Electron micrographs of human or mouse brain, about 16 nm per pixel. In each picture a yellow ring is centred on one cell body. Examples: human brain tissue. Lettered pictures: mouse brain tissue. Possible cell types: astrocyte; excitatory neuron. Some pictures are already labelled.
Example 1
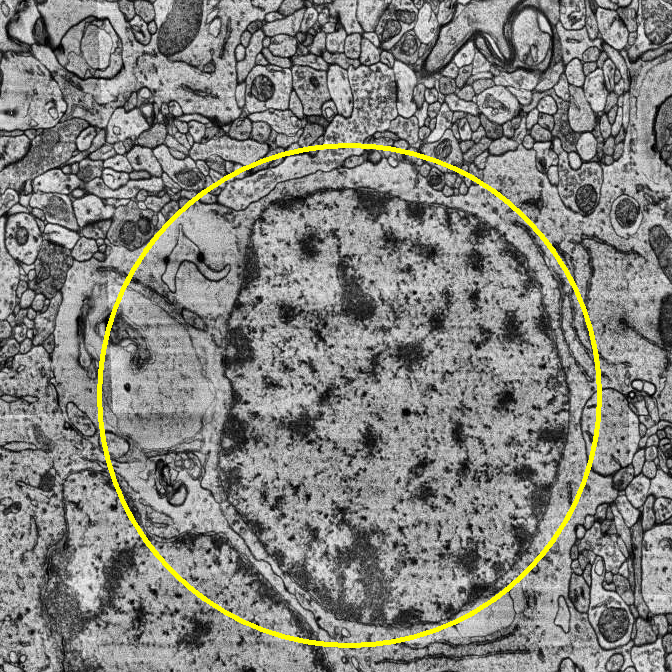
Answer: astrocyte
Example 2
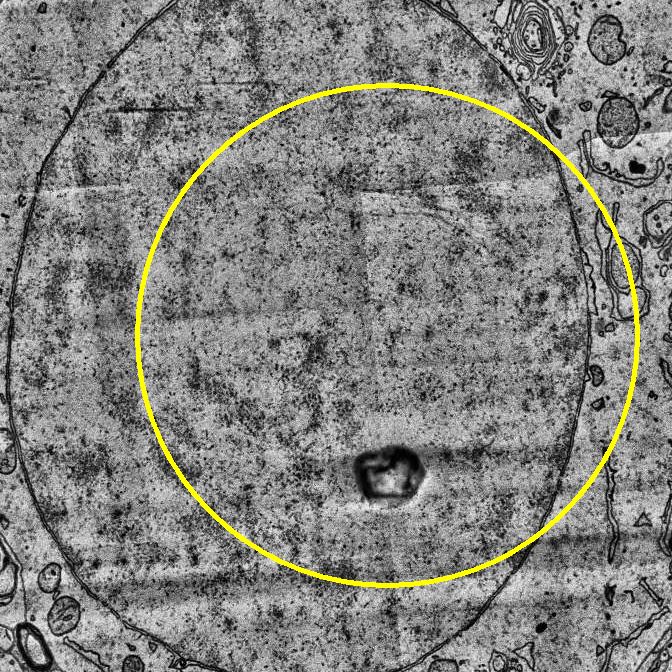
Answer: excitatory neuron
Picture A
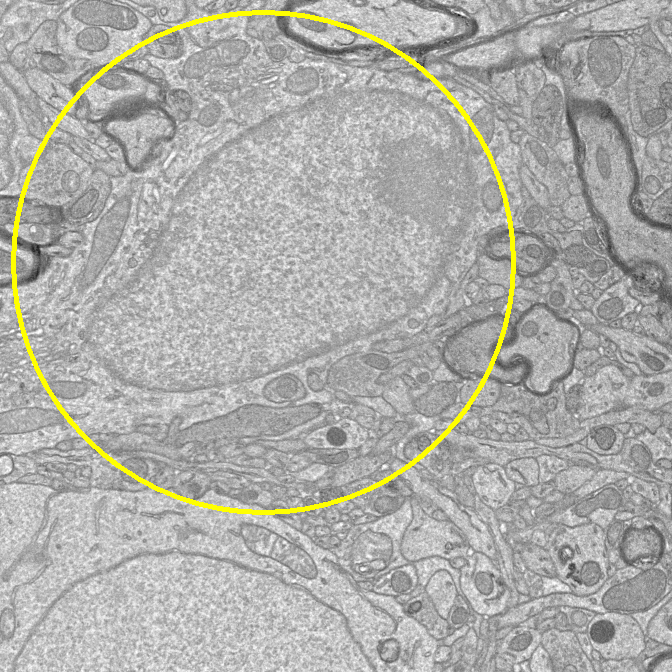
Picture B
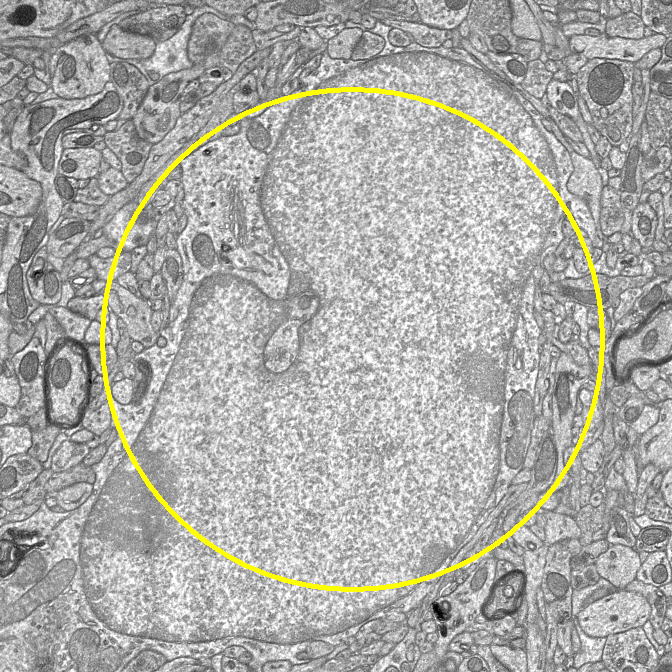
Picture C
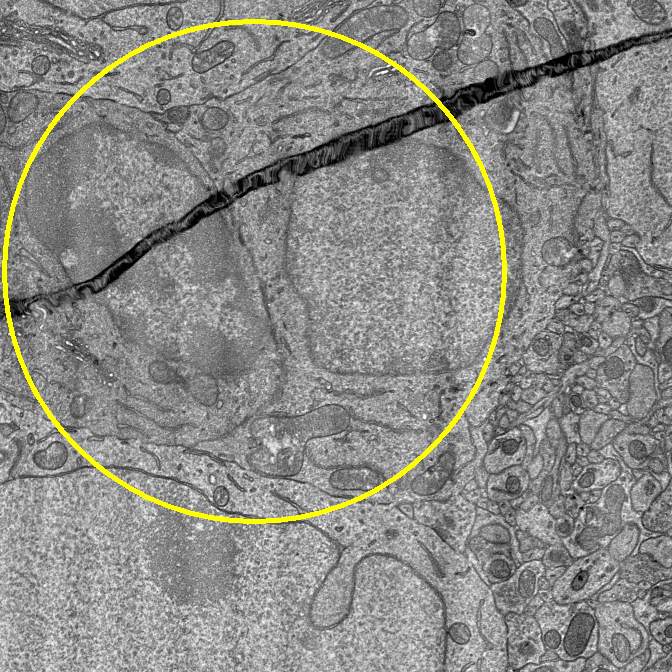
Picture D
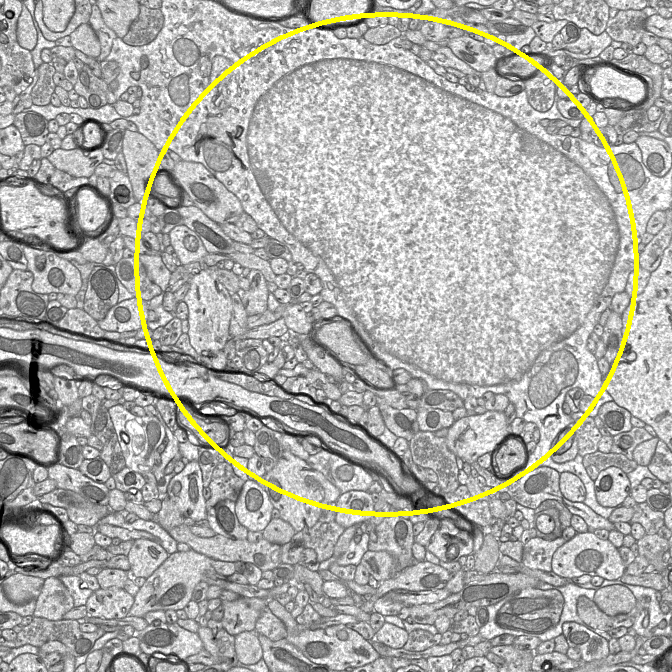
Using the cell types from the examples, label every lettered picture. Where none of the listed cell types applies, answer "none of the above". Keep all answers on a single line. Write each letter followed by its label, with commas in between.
A astrocyte, B astrocyte, C none of the above, D astrocyte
